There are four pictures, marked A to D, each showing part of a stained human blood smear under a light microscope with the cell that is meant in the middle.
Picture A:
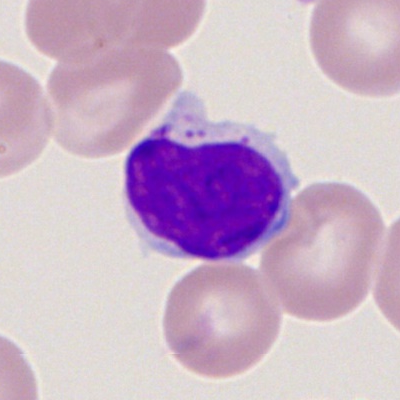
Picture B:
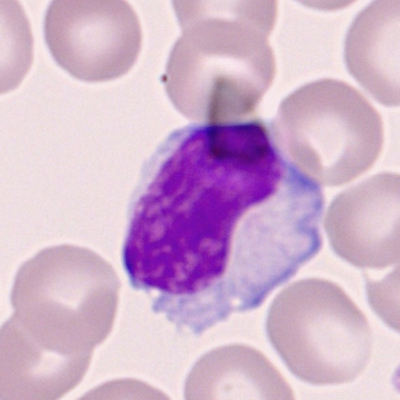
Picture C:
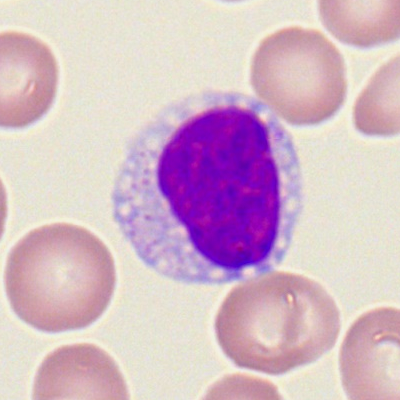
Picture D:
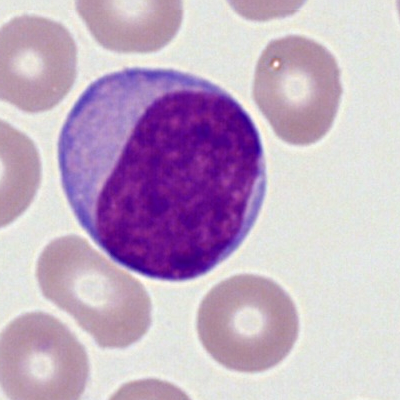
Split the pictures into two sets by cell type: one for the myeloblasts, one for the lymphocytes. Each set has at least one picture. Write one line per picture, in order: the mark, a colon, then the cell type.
A: lymphocyte
B: lymphocyte
C: lymphocyte
D: myeloblast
